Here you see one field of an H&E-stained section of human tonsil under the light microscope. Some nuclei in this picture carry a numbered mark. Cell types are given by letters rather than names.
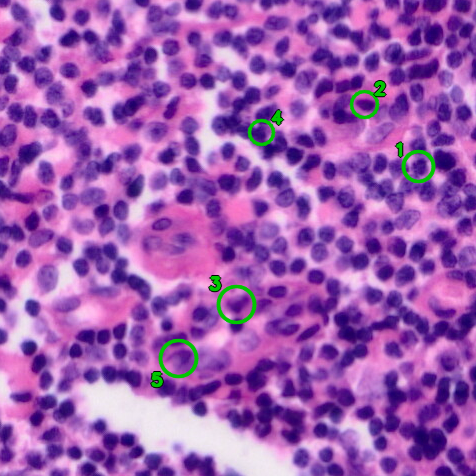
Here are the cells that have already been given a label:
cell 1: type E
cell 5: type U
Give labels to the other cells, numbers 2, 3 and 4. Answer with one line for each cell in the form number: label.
2: type U
3: type U
4: type E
